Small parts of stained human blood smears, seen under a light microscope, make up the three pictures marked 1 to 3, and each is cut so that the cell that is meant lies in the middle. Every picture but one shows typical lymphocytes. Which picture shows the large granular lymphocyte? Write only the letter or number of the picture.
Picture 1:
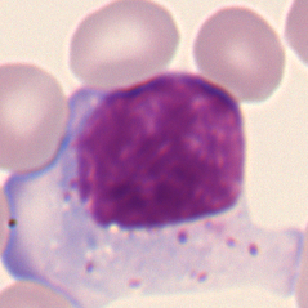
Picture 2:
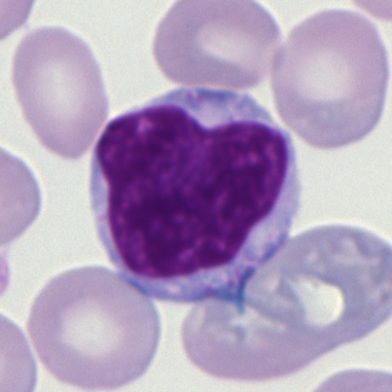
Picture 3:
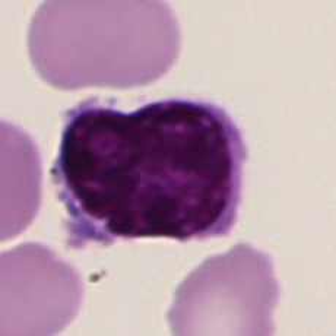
1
